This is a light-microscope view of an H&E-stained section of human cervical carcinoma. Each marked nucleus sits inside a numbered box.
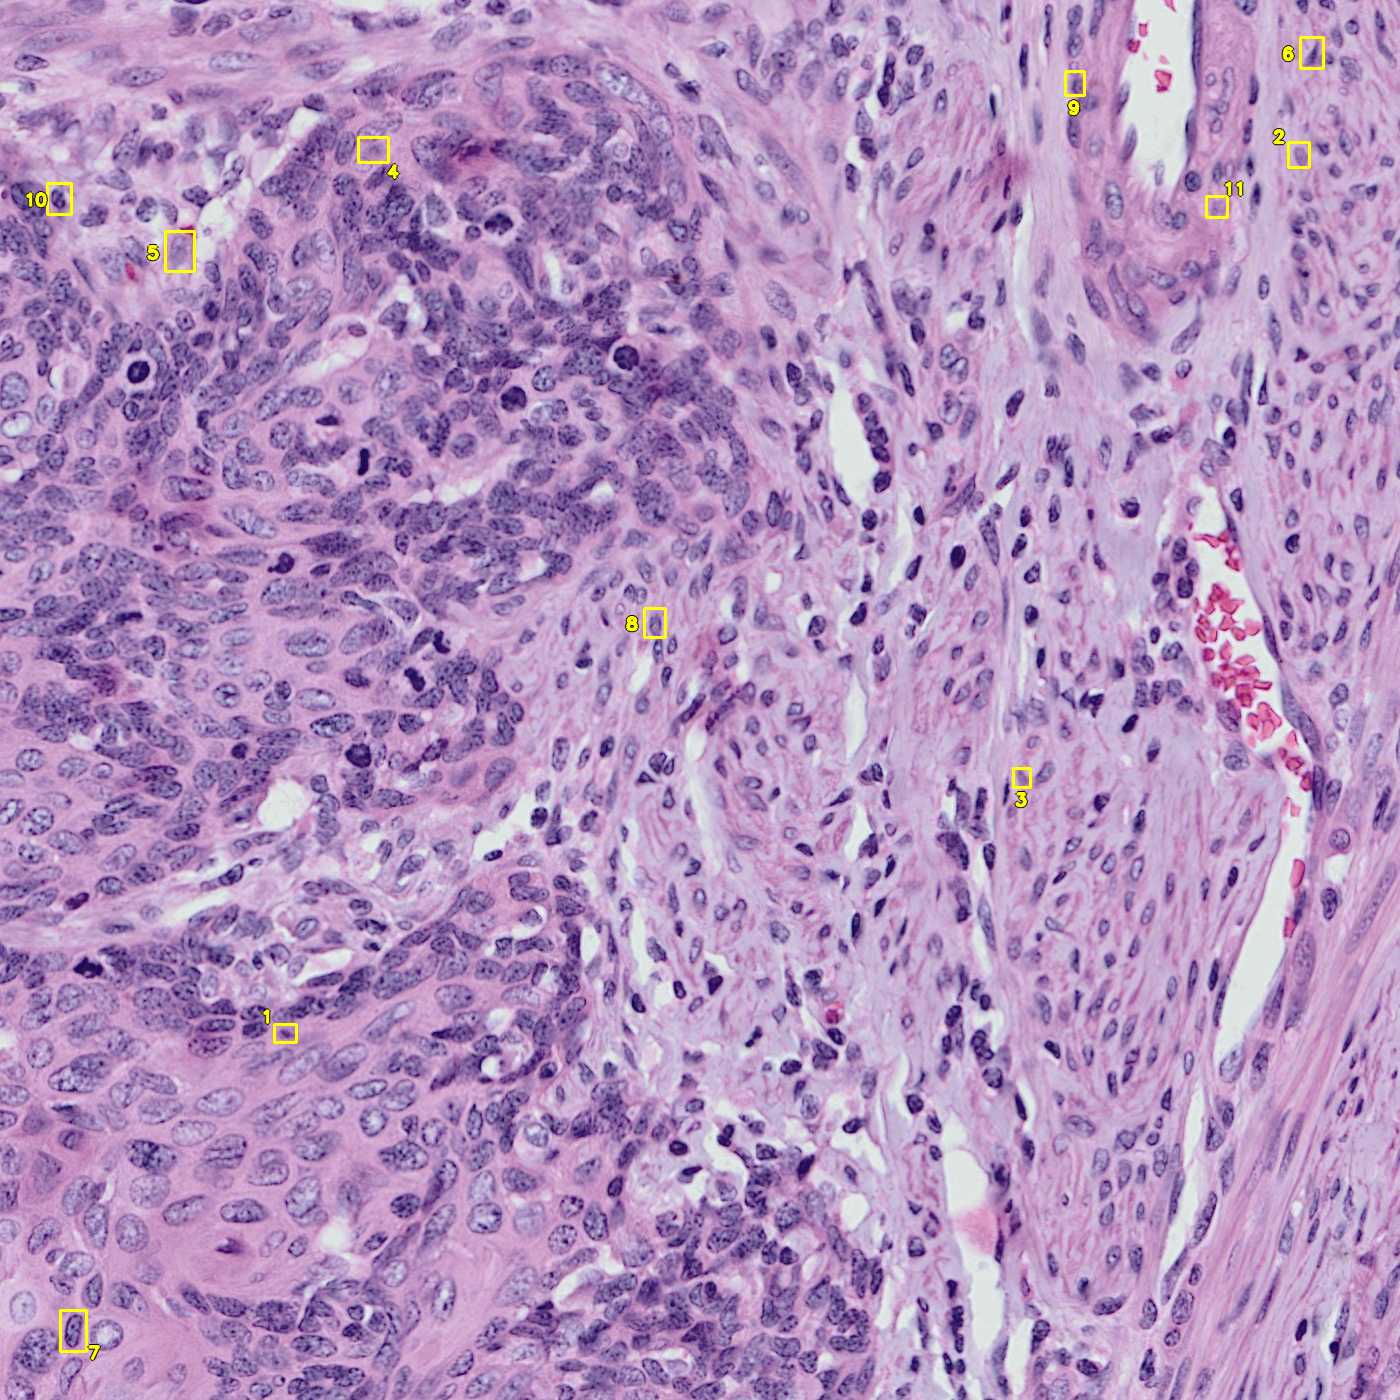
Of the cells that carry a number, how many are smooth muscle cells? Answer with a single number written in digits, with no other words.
6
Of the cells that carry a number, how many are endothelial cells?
1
